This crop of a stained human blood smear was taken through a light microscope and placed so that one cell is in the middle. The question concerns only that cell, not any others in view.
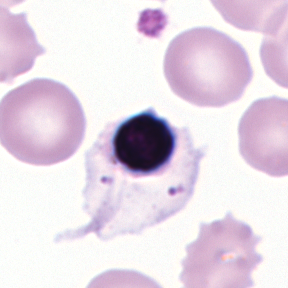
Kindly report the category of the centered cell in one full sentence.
The crop shows an erythroblast in its centre.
